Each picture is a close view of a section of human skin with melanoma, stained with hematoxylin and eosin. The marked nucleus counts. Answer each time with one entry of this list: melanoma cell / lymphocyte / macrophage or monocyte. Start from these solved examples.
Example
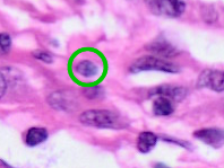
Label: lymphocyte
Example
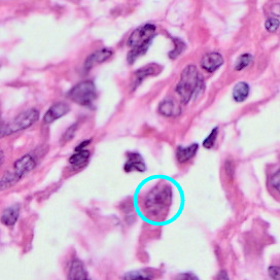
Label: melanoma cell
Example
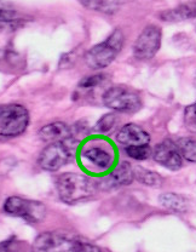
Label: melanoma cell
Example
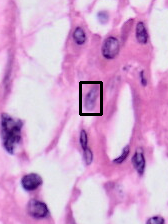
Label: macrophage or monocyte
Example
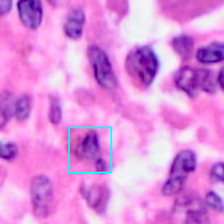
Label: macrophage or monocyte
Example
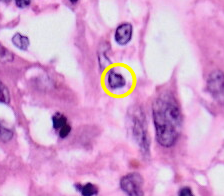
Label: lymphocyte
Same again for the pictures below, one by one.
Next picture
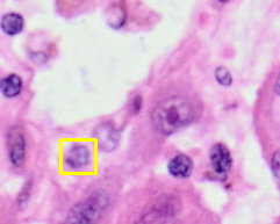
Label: macrophage or monocyte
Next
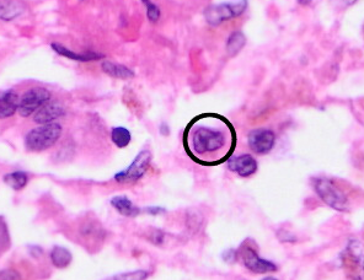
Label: macrophage or monocyte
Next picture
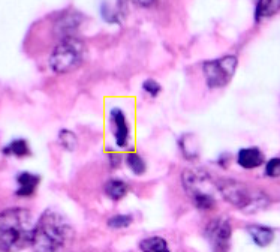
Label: lymphocyte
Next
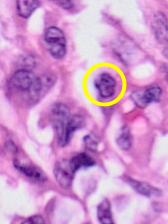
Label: melanoma cell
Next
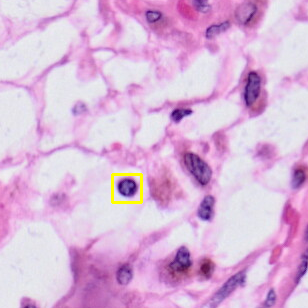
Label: lymphocyte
